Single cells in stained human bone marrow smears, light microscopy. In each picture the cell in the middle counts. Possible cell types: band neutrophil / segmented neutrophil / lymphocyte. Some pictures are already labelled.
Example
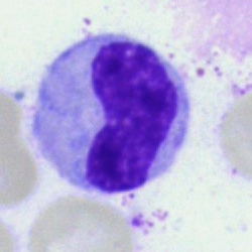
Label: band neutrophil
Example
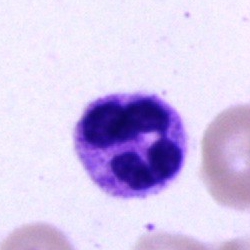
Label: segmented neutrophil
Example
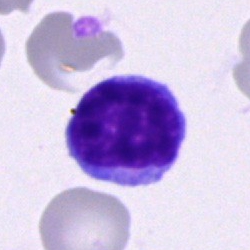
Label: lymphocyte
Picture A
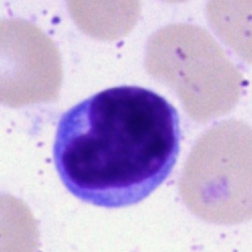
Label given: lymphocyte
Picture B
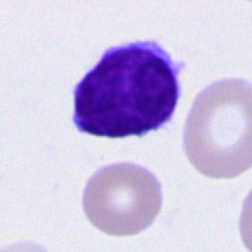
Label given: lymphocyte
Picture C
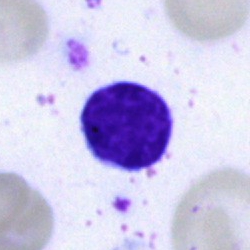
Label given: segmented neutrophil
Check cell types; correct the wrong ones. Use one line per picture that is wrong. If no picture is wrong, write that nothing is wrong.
C is labelled segmented neutrophil; correct label: lymphocyte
